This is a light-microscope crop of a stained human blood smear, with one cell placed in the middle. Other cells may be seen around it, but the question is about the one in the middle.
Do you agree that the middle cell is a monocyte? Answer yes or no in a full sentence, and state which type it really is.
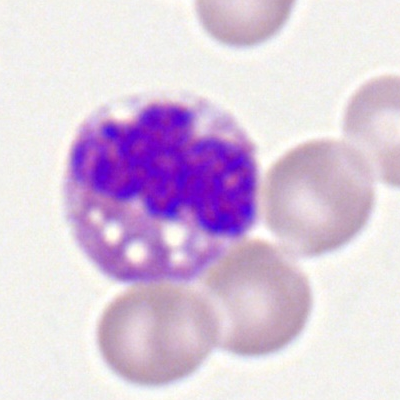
No, a monocyte is not what the central cell is; it is an eosinophil.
